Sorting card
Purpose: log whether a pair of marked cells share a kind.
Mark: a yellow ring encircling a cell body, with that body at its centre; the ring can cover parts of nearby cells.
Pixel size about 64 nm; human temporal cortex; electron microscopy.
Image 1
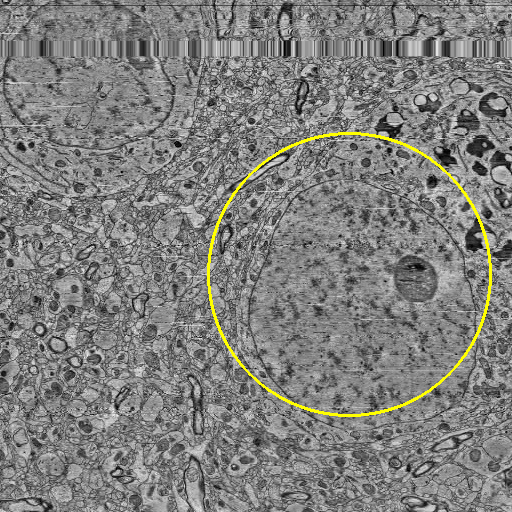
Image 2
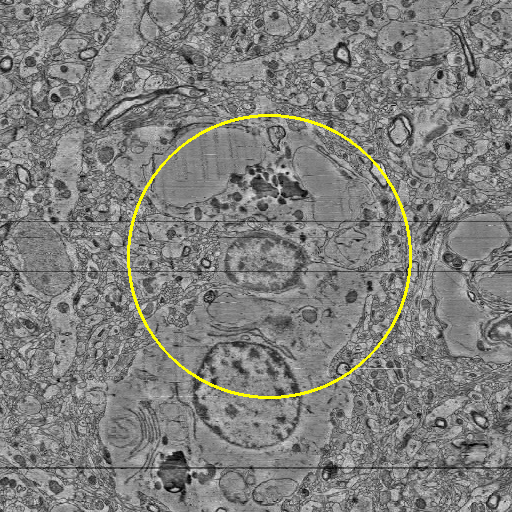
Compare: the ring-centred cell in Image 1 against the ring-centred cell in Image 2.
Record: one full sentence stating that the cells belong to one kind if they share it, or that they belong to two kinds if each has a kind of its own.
Across Images 1 and 2, the two ring-centred cells belong to two kinds.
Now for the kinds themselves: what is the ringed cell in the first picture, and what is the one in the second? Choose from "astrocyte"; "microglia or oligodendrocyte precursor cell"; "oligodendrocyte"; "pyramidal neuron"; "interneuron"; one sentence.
Here the first cell is a pyramidal neuron and the second cell is an oligodendrocyte.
